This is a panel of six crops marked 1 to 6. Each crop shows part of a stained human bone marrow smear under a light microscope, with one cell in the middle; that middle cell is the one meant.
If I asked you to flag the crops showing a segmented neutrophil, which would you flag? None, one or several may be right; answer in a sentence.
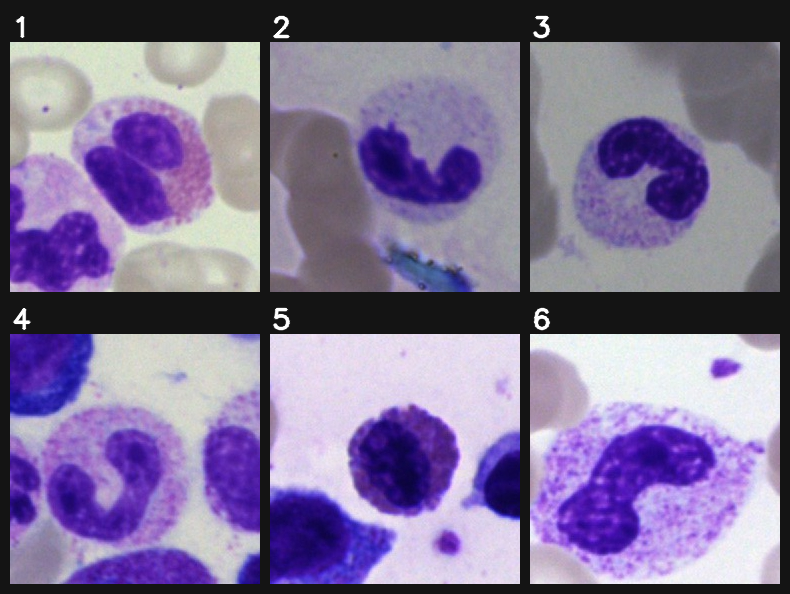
None of these crops has a segmented neutrophil at its center.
